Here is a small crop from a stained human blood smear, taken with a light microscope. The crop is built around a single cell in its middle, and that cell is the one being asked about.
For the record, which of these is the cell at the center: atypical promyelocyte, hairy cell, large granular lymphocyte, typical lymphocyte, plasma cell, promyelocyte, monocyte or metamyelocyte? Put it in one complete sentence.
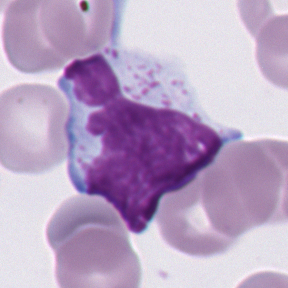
Standing at the centre of this crop is a large granular lymphocyte.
